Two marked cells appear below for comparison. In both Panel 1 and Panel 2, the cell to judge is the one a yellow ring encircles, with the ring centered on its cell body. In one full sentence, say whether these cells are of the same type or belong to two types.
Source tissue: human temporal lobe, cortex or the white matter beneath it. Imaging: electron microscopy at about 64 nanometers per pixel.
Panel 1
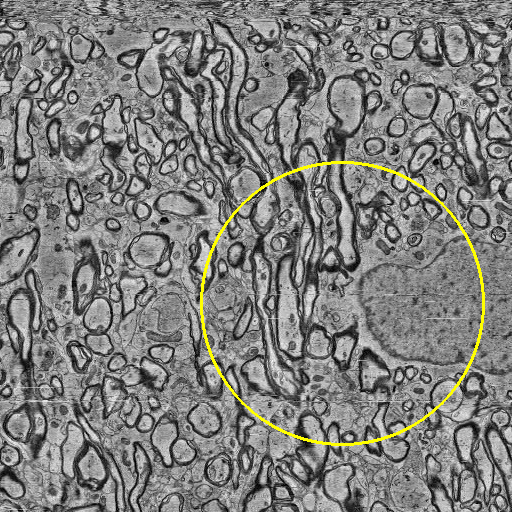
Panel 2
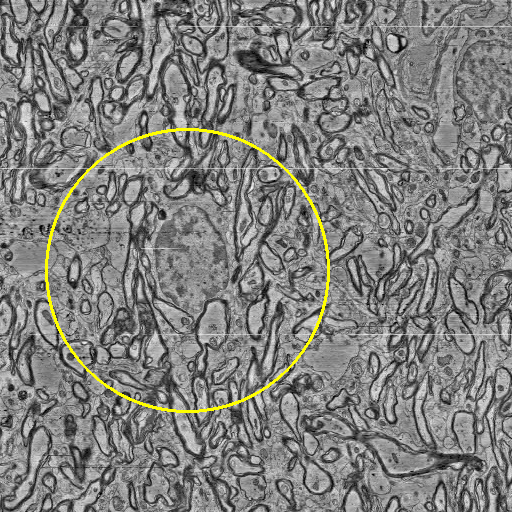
The cell centered in the Panel 1 ring and the one in Panel 2 belong to two types.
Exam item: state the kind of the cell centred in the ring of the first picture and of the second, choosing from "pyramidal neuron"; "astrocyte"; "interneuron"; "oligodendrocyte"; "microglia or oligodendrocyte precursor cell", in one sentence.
The first picture shows an astrocyte at the ring centre and the second shows an oligodendrocyte.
